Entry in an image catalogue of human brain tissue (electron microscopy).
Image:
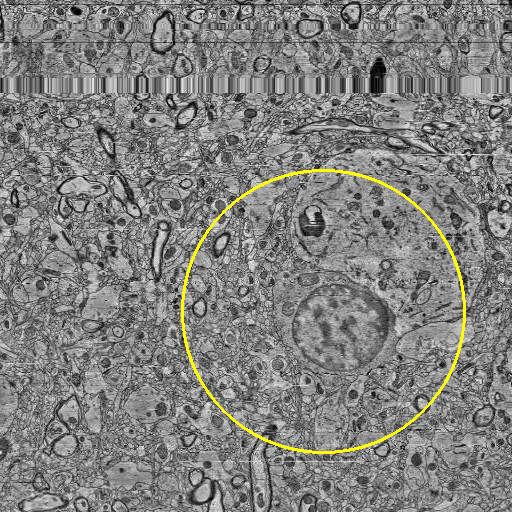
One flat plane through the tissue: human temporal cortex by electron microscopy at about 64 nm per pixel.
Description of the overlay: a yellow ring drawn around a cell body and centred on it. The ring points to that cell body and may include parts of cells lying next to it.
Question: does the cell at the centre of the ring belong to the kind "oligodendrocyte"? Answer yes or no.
yes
